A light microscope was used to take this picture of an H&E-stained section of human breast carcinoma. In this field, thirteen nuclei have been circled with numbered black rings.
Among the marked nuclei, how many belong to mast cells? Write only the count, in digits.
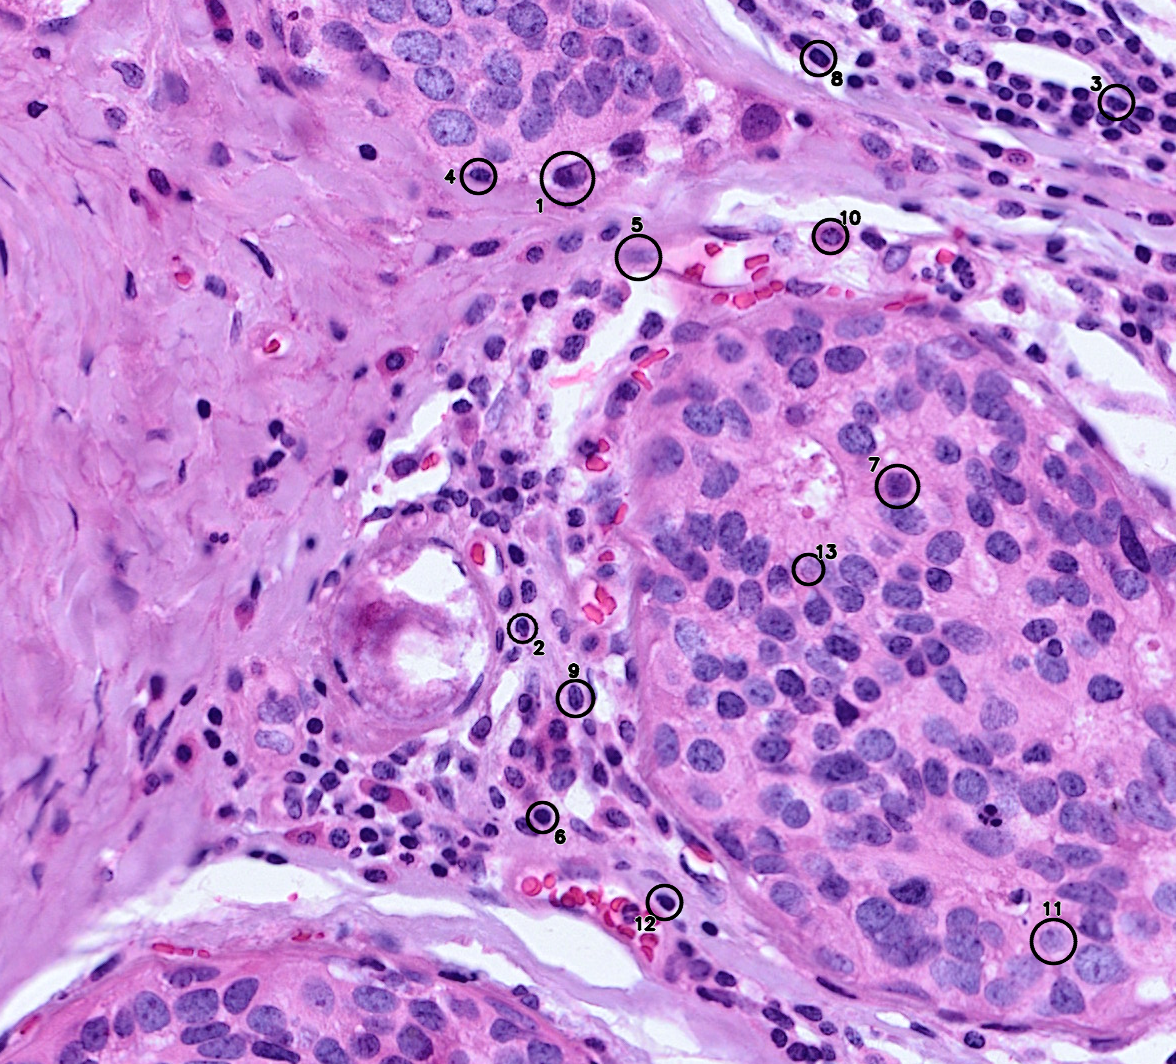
1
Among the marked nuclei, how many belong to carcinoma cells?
4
